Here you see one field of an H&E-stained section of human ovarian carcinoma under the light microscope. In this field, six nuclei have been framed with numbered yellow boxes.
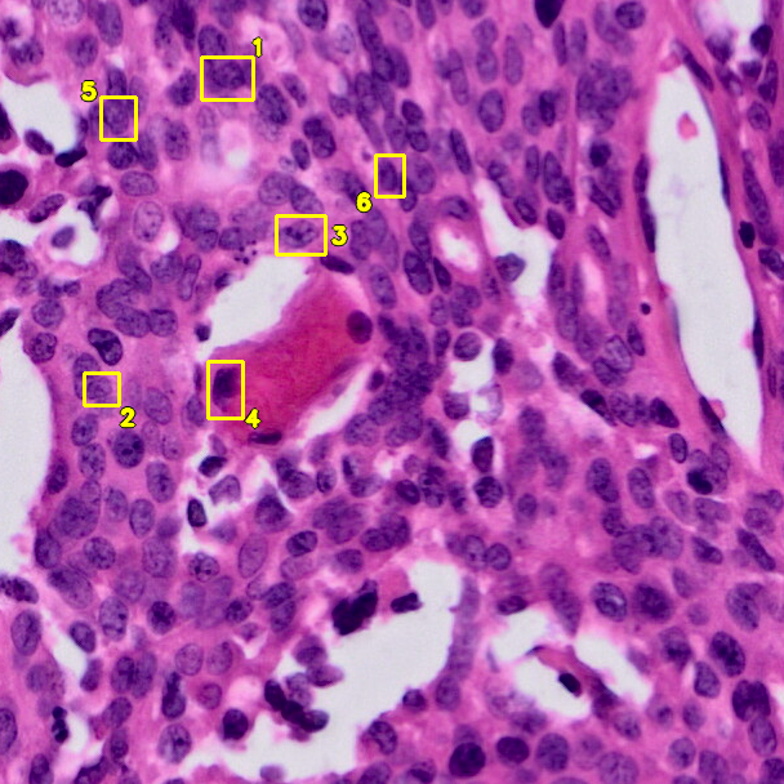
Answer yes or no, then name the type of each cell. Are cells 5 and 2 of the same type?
Yes, the cell labelled 5 and the cell labelled 2 are both carcinoma cells.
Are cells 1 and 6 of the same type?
Yes, cell 1 is one of the carcinoma cells, and so is cell 6.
